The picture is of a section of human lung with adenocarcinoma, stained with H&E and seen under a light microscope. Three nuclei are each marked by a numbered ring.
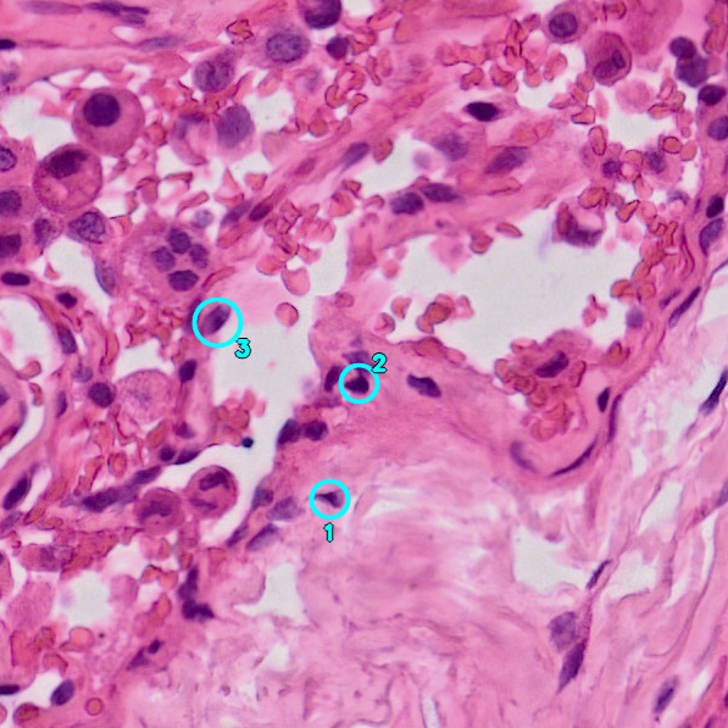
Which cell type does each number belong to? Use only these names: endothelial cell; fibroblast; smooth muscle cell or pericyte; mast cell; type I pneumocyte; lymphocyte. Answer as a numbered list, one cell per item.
1. fibroblast
2. lymphocyte
3. type I pneumocyte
